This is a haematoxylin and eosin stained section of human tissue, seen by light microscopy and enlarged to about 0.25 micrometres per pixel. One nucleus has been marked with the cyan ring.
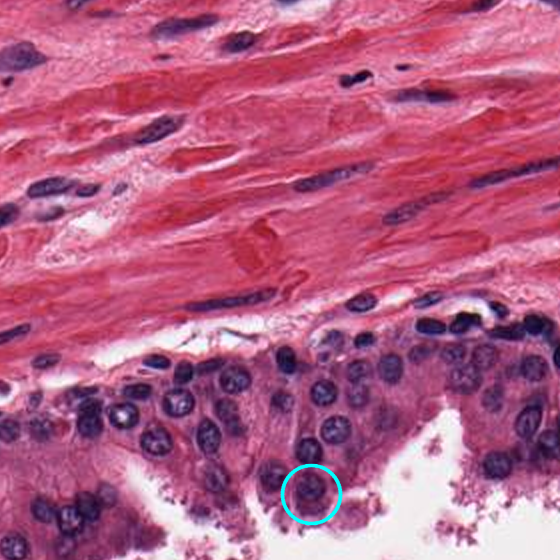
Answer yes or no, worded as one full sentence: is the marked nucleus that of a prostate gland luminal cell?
Yes, the marked nucleus is one belonging to a prostate gland luminal cell.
